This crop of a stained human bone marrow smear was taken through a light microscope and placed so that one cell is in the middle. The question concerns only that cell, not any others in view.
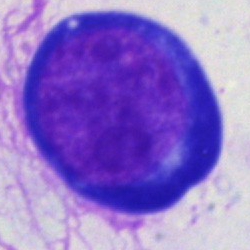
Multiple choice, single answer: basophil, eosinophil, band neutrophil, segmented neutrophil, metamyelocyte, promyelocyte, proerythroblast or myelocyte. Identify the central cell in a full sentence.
Positioned in the middle of the crop is a proerythroblast.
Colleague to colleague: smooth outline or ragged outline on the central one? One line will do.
From every side, the cell boundary is smooth and free of projections.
